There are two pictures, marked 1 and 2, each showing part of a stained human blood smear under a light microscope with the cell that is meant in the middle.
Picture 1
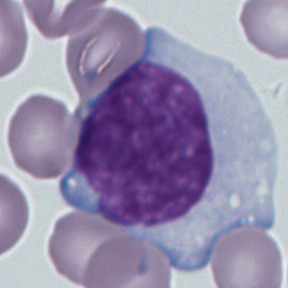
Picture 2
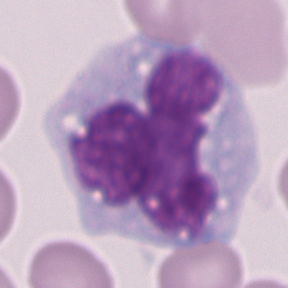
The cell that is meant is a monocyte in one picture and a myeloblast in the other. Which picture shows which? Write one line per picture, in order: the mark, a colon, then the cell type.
1: myeloblast
2: monocyte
